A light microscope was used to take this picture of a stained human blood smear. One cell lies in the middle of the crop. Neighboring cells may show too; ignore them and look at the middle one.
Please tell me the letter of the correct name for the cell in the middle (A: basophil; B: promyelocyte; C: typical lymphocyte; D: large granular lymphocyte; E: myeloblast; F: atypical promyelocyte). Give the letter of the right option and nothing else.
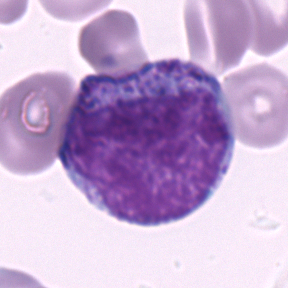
B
